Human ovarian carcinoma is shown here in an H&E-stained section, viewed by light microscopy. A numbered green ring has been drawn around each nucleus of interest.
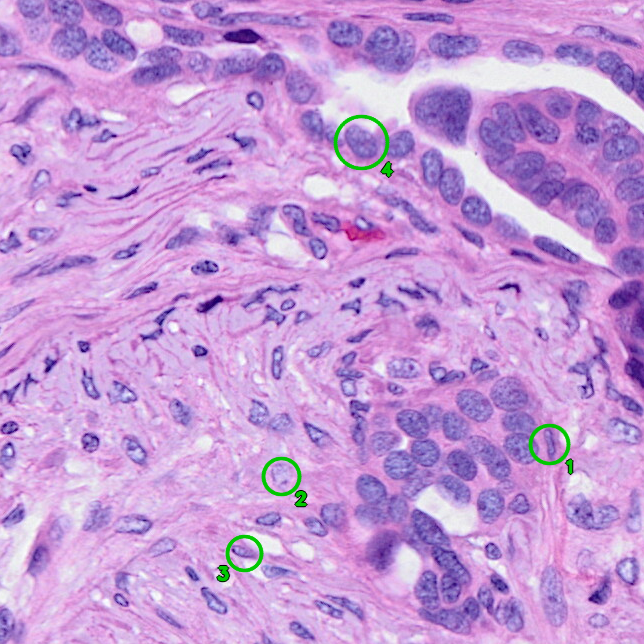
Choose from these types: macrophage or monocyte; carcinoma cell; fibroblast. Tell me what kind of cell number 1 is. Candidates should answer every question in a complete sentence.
Here, the cell given the number 1 is a fibroblast.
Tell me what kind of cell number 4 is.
The nucleus marked 4 is the nucleus of a carcinoma cell.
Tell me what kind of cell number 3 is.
The cell identified by number 3 is a fibroblast.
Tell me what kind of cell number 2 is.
That cell with number 2 is a fibroblast.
